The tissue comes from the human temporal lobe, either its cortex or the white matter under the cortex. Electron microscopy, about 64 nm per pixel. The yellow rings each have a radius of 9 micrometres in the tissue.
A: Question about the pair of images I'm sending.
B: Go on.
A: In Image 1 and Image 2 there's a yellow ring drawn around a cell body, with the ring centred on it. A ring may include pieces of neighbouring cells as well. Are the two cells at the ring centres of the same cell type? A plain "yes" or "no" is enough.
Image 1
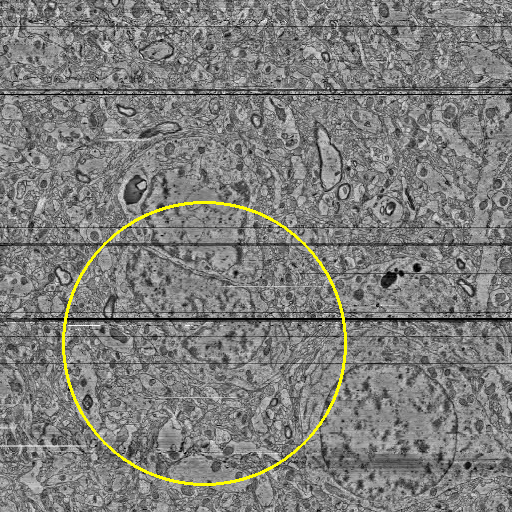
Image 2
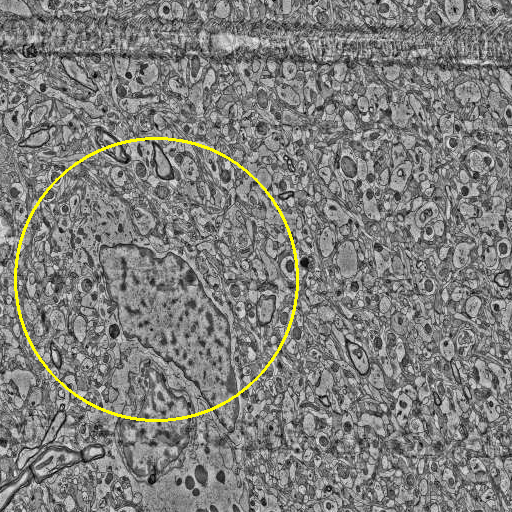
no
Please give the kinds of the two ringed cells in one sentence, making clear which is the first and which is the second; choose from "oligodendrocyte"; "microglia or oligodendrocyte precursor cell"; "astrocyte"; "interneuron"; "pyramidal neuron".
In the second picture the ringed cell is a microglial cell or oligodendrocyte precursor cell; in the first it is an interneuron.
